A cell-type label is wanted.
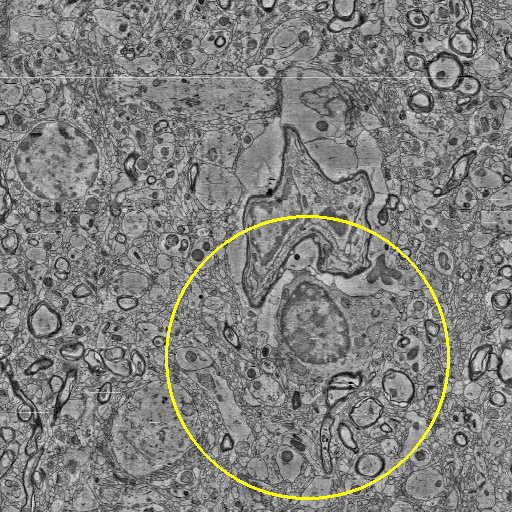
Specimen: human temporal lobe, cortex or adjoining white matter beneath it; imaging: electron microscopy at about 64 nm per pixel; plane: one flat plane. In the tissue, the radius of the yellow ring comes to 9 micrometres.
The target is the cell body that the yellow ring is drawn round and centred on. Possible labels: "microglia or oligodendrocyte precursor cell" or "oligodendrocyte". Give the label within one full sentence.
Of the labels offered, the cell in the middle of the yellow ring is an oligodendrocyte.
